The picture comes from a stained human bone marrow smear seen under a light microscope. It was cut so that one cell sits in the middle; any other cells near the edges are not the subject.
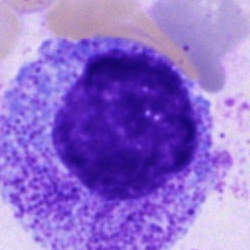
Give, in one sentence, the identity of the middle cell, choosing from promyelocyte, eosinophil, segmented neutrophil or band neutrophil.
This particular crop is centered on a promyelocyte.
